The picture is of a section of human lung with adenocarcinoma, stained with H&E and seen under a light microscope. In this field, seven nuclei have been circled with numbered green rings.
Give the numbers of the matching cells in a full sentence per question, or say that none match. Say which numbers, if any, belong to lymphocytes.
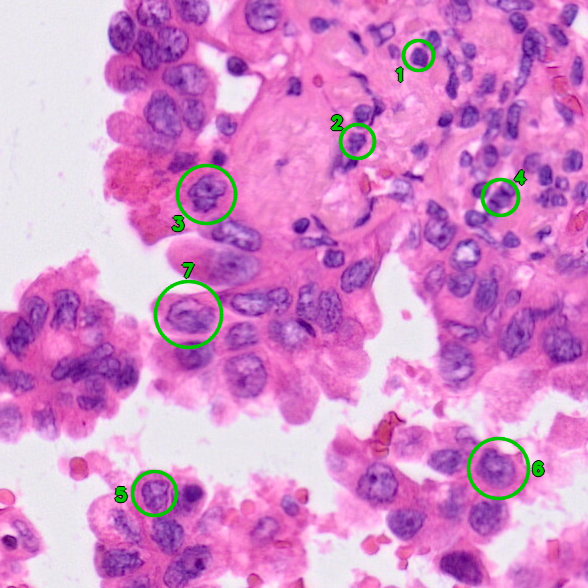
So, the cells with numbers 1, 2 and 4 are lymphocytes.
